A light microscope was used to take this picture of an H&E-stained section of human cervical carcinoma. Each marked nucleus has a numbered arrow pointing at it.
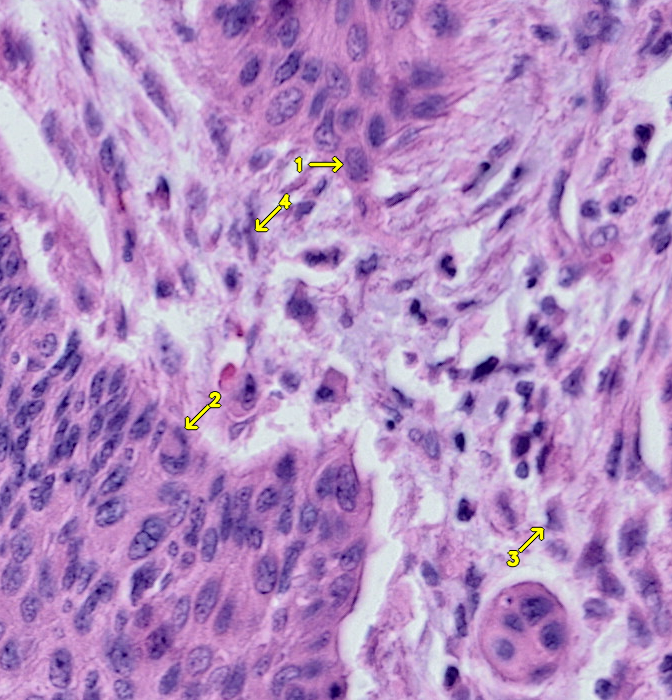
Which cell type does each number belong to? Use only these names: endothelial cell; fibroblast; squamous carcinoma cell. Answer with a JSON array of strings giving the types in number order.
["squamous carcinoma cell", "squamous carcinoma cell", "fibroblast", "fibroblast"]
